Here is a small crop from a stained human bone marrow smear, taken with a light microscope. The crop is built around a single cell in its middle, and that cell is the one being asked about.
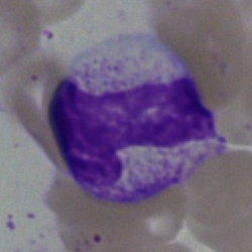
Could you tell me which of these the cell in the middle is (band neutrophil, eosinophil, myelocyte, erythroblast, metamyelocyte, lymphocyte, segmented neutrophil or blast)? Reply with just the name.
band neutrophil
